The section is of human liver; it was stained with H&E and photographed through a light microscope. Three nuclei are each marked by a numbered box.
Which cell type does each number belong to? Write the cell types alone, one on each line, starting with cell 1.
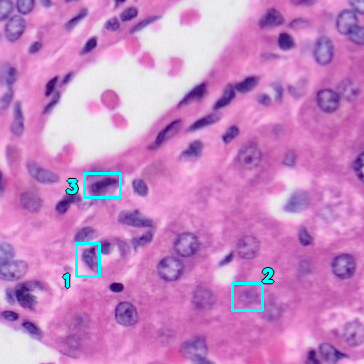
fibroblast or stellate cell
hepatocyte
fibroblast or stellate cell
